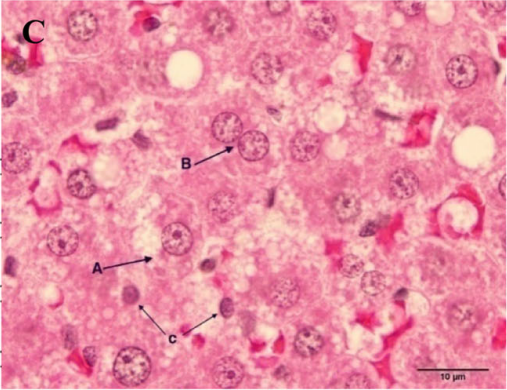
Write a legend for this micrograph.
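This is liver with hepatocytes whose pink cytoplasm is foamy with many small clear vacuoles, and a few larger round clear vacuoles. Most nuclei are round with open chromatin and a nucleolus, and some cells hold two nuclei side by side. Scattered small, dark, condensed nuclei stand out among them. Red blood cells fill the sinusoids between the hepatocytes.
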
